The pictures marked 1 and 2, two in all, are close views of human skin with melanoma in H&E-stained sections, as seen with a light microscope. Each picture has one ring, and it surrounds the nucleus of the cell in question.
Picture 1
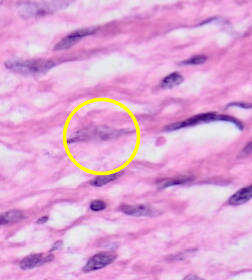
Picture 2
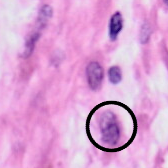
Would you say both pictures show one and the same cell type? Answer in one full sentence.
No, the types are not the same, since picture 1 shows a “fibroblast or myofibroblast” and picture 2 a “macrophage or monocyte”.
